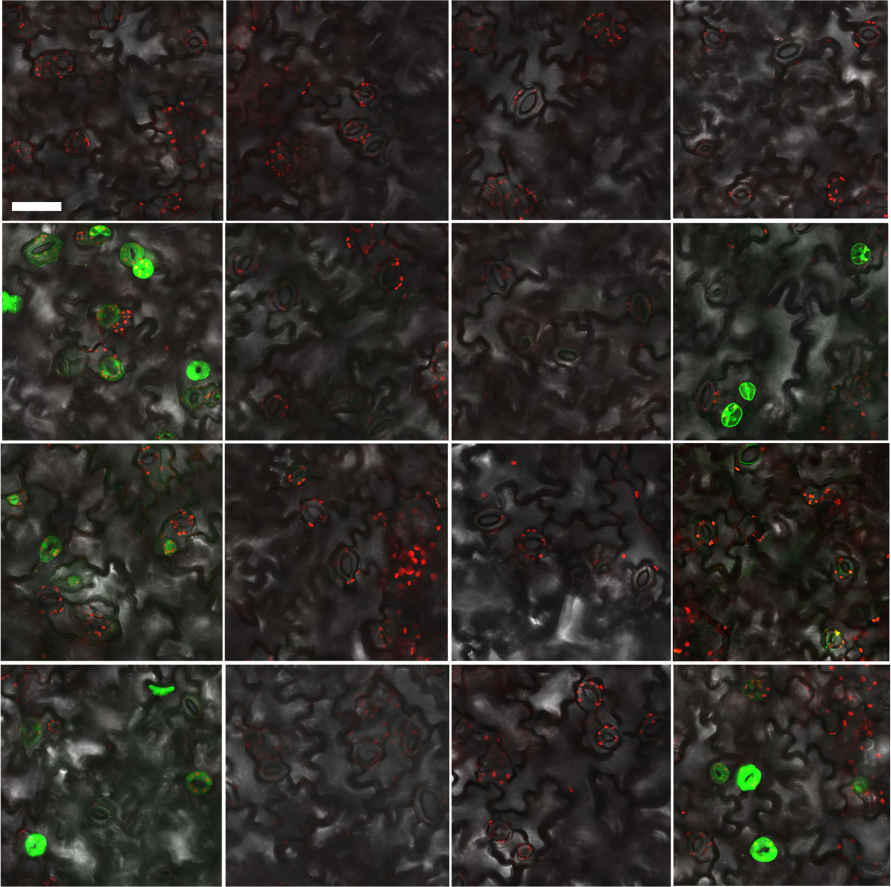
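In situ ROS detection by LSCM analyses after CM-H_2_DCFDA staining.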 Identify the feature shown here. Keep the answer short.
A: Stomata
